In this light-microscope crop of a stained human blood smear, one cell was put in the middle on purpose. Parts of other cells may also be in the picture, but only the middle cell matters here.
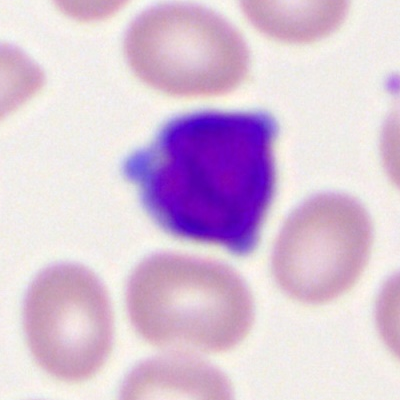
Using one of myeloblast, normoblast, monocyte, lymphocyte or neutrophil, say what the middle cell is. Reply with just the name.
lymphocyte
